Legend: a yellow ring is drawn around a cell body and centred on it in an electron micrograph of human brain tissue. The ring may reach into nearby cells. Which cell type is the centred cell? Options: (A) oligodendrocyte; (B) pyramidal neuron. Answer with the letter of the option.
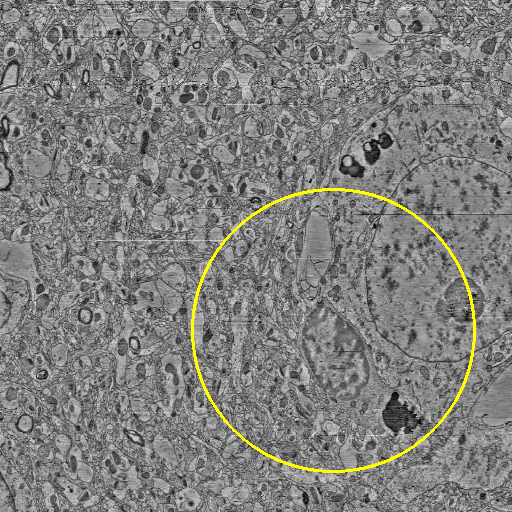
A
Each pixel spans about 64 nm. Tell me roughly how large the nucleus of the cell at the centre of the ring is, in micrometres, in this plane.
Approximately 7 by 4 micrometers, which makes the nucleus clearly longer than it is wide in this plane.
